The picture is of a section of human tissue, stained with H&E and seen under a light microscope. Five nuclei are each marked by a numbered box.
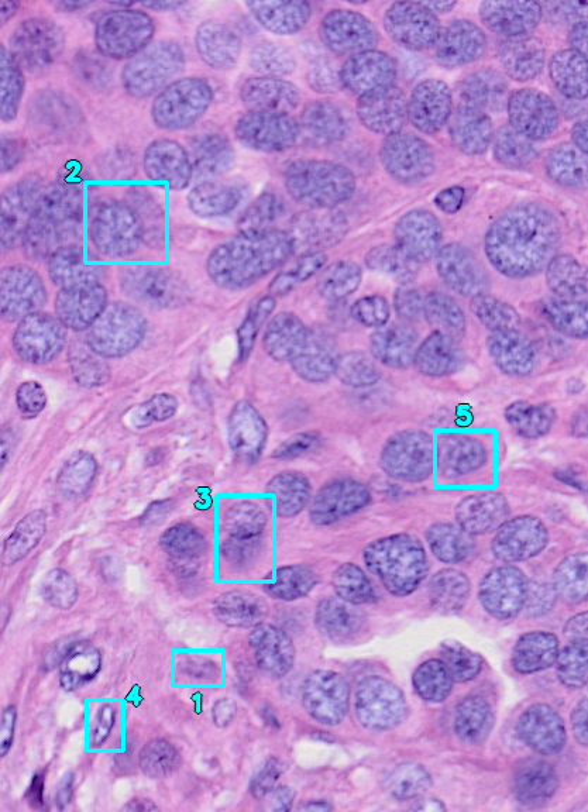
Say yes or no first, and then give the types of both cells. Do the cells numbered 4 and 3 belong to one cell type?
No, cell 4 is a fibroblast, and as for cell 3, it is a carcinoma cell.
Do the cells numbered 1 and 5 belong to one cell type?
No, cell 1 counts as a fibroblast, and cell 5 counts as a carcinoma cell.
